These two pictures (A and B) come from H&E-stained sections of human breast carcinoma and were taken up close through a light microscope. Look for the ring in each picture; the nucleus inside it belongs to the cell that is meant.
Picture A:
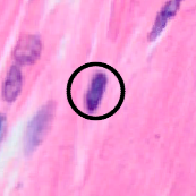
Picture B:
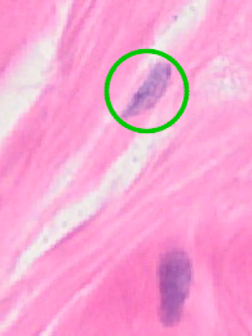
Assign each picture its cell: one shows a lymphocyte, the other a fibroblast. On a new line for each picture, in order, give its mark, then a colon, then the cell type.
A: lymphocyte
B: fibroblast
